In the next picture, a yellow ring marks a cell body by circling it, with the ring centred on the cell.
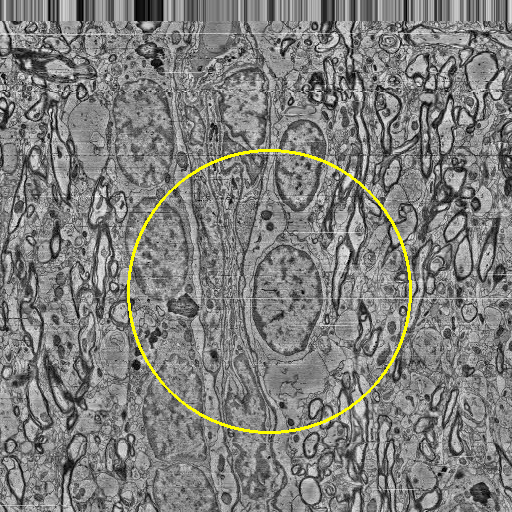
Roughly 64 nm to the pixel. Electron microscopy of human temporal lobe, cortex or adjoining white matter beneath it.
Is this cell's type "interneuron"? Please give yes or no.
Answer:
no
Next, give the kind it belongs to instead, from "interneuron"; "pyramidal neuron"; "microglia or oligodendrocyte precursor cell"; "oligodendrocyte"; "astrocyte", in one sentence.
Instead, the cell at the centre of the ring is a microglial cell or oligodendrocyte precursor cell.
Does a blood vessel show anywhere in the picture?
Yes, the picture includes a blood vessel.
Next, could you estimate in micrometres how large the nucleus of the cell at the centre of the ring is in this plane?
The nucleus measures about 7 by 4 micrometres, so it is clearly longer than it is wide in this plane.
